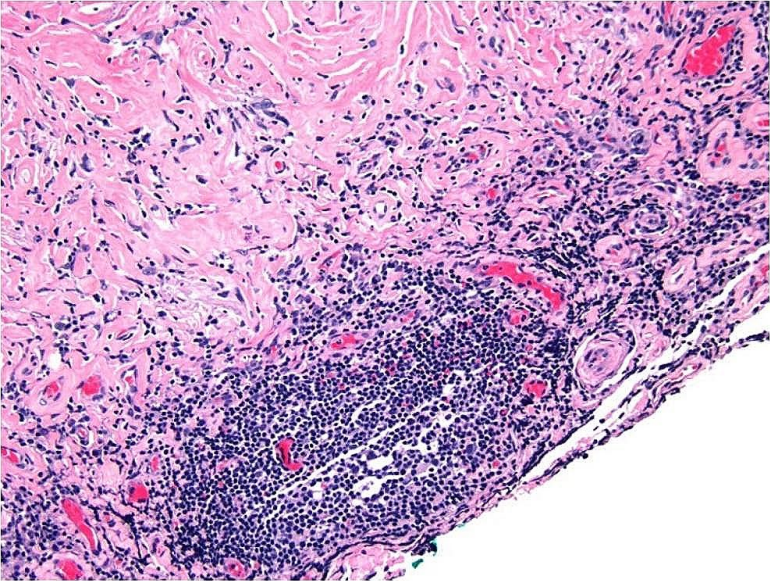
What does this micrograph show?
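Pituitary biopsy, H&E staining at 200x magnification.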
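The upper left is taken up by broad, pale pink, wavy bundles of collagen with only scattered spindle-shaped nuclei between them. Across the lower part of the field runs a dense band of small cells with dark round nuclei, crowded together around small vessels.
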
